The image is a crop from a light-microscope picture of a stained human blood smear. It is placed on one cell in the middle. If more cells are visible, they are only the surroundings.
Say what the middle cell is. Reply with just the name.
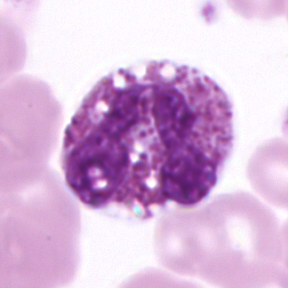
eosinophil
